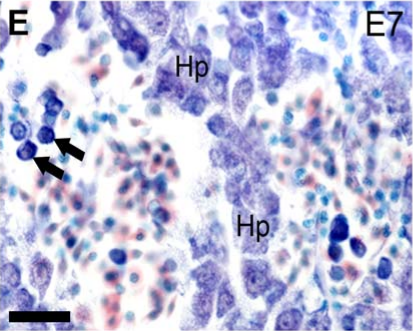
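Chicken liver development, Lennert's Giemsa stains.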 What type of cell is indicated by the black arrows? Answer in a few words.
Immature hematopoietic circulating cells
